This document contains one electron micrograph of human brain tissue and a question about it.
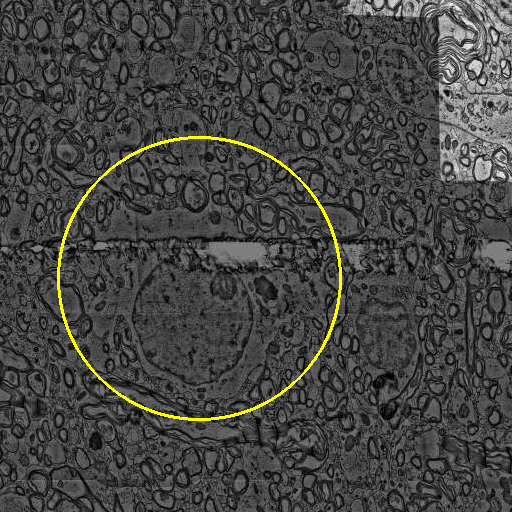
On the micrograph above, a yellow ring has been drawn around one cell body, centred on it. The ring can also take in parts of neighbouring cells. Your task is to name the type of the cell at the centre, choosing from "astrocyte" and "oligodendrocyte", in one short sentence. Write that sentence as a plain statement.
Here the ring is centred on an astrocyte.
